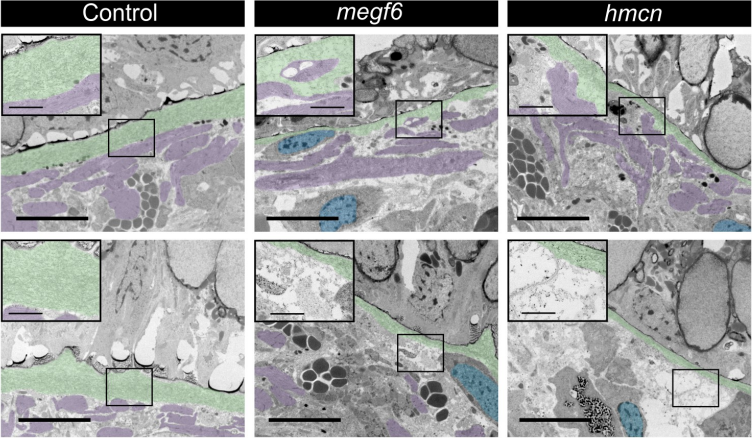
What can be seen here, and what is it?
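The green band is a broad, uniform layer in some images but only a thin line in others, and the insets show its fine fibrous texture at higher magnification. Darker granules and membrane-bound vesicles are scattered in the cells above and below the band.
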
